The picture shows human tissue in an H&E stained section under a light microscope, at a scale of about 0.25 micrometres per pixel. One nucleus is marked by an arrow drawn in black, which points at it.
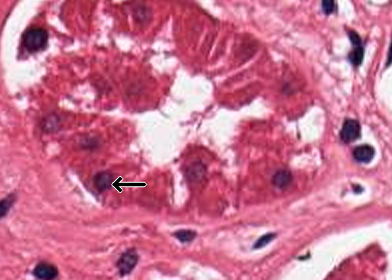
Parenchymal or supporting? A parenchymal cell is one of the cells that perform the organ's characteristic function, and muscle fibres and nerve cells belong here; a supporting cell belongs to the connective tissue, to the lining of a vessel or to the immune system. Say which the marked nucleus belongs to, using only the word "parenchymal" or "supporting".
parenchymal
